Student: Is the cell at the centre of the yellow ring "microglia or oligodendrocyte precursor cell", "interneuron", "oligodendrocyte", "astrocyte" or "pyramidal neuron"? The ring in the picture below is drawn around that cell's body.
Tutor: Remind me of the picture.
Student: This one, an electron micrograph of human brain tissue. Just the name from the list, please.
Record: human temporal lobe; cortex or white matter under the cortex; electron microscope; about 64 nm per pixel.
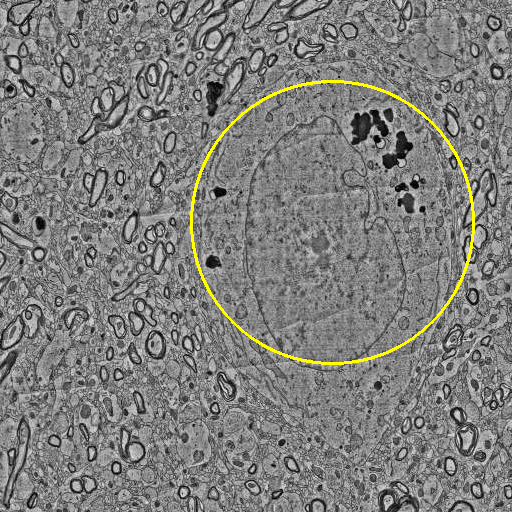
pyramidal neuron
